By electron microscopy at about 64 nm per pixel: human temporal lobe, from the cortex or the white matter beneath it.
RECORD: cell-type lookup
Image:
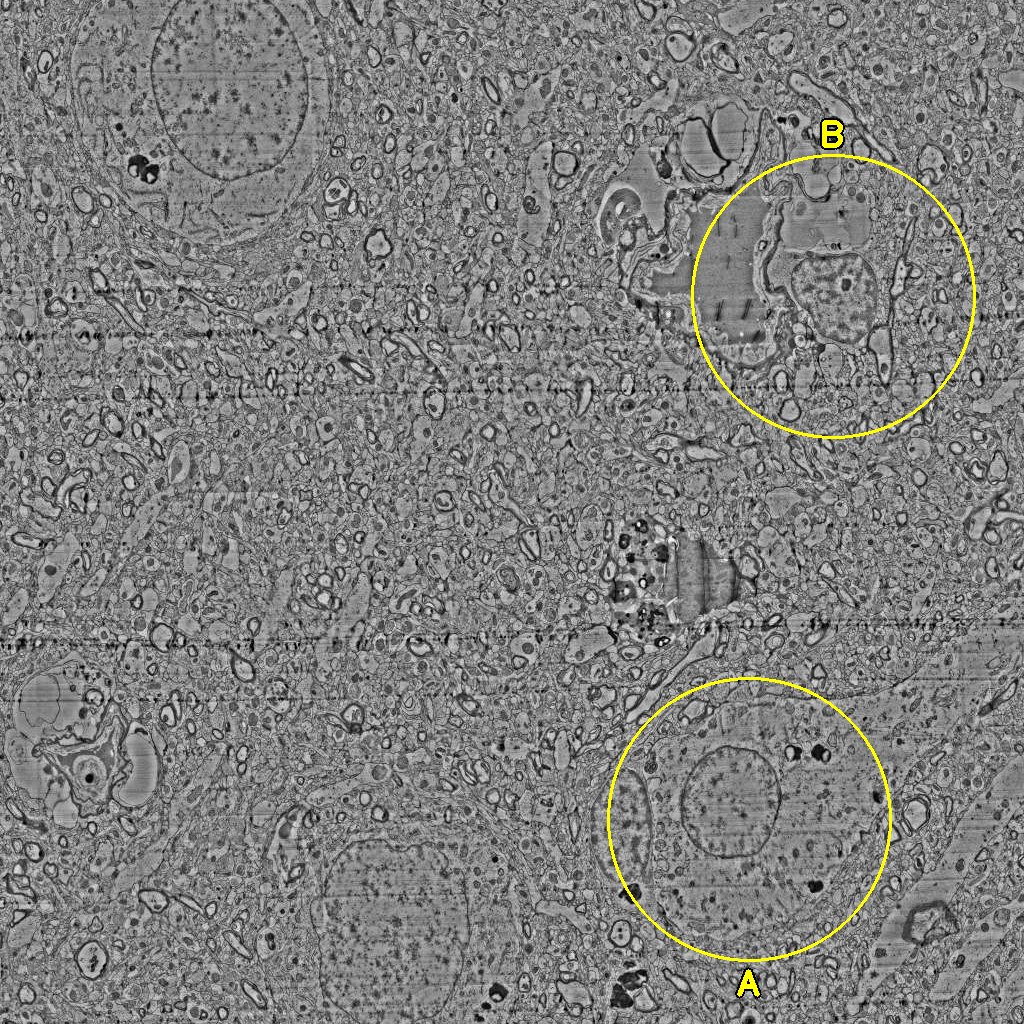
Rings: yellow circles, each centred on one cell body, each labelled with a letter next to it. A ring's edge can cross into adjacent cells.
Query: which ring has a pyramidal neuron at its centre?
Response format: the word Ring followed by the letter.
Ring A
